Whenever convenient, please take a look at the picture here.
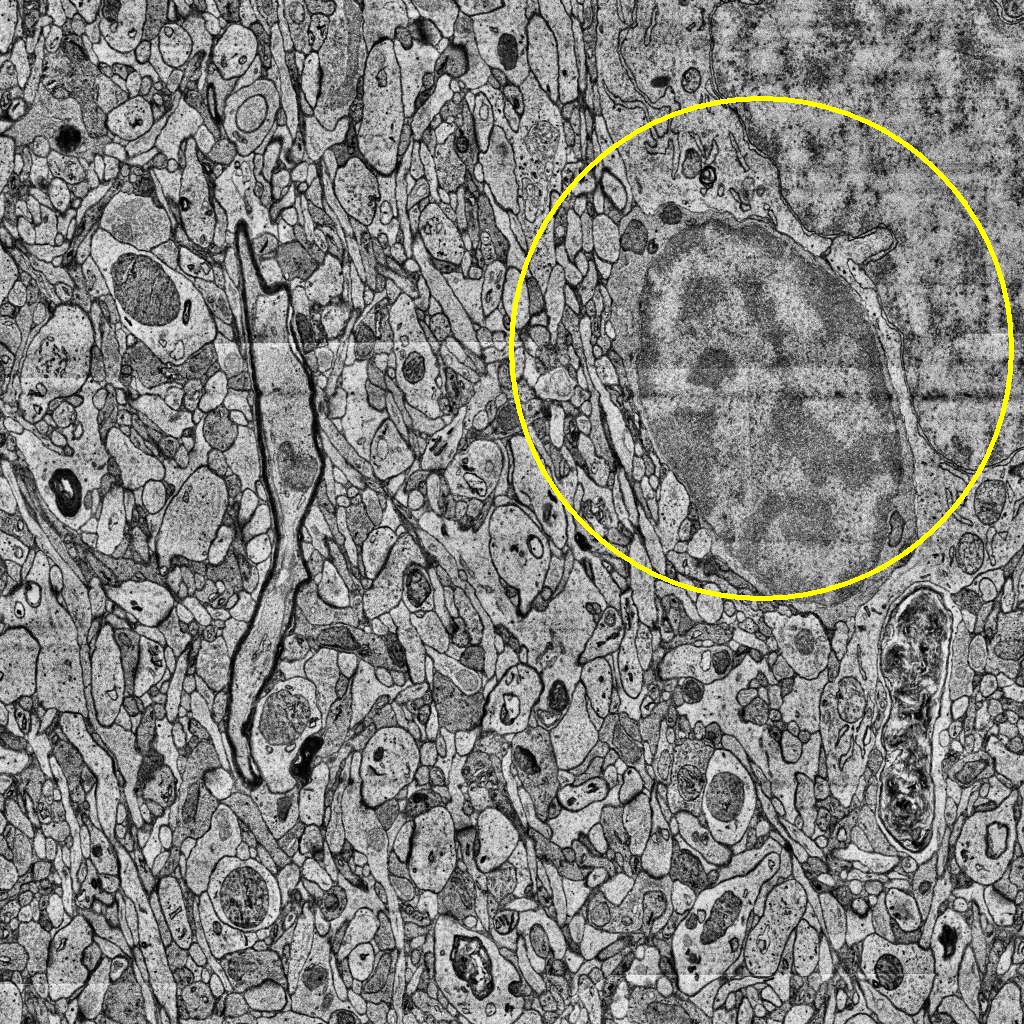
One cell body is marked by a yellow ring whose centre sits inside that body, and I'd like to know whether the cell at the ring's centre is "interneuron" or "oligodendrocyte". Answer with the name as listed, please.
oligodendrocyte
